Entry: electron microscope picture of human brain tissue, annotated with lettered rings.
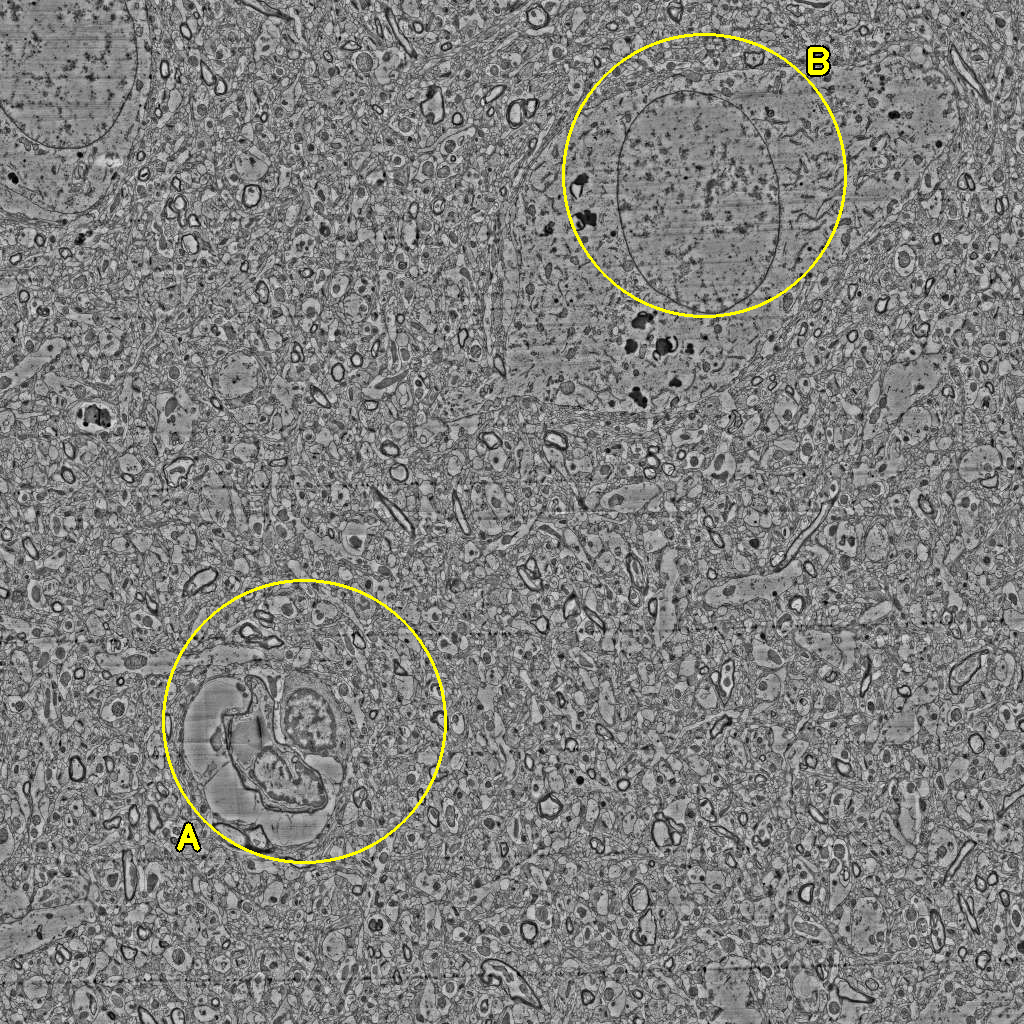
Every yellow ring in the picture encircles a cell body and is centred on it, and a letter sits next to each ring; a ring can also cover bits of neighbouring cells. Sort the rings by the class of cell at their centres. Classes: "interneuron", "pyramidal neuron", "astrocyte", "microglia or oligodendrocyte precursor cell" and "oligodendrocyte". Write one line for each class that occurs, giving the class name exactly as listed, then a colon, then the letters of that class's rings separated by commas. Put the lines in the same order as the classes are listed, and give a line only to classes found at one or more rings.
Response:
pyramidal neuron: B
oligodendrocyte: A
